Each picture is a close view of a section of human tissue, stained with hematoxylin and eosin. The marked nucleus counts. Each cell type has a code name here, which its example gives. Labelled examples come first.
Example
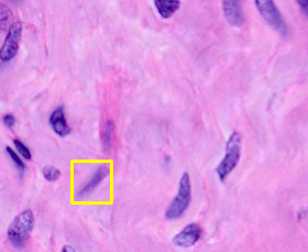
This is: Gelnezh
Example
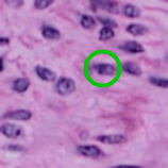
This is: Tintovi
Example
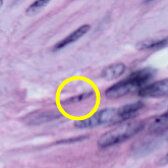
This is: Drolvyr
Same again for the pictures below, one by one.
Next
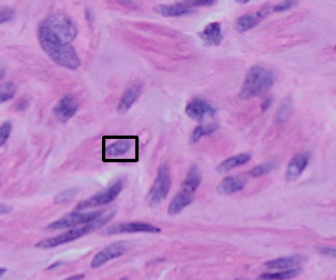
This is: Tintovi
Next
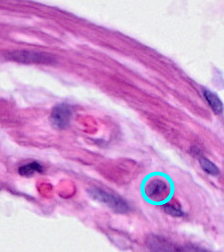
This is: Drolvyr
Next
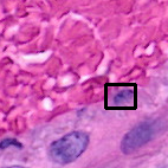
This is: Drolvyr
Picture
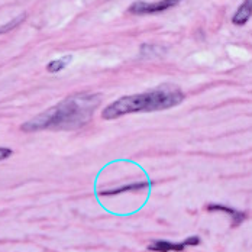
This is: Gelnezh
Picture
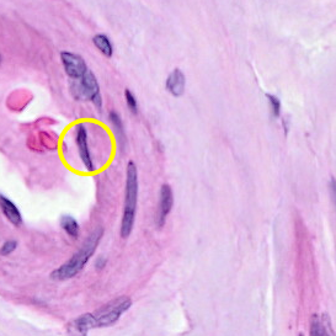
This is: Drolvyr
